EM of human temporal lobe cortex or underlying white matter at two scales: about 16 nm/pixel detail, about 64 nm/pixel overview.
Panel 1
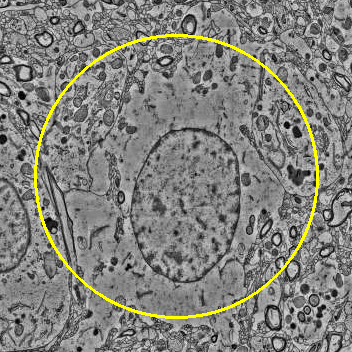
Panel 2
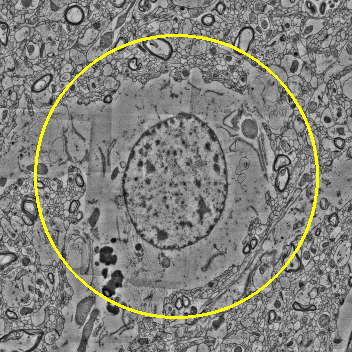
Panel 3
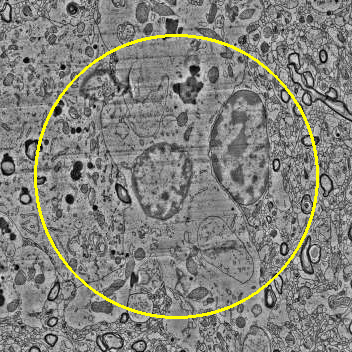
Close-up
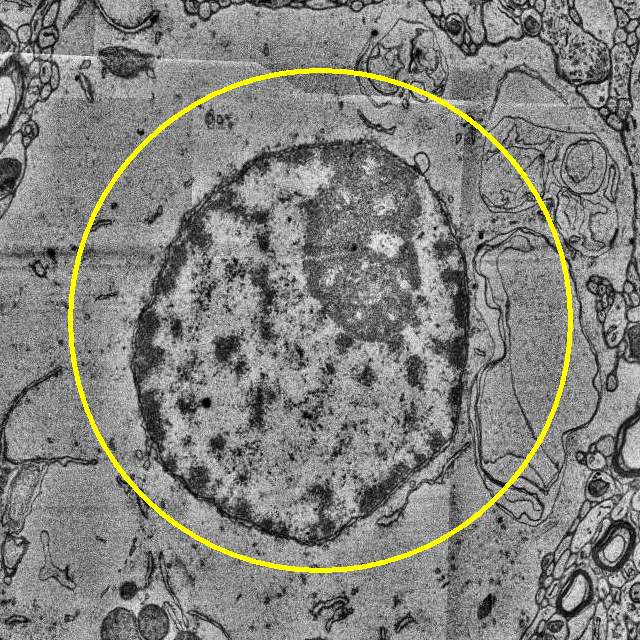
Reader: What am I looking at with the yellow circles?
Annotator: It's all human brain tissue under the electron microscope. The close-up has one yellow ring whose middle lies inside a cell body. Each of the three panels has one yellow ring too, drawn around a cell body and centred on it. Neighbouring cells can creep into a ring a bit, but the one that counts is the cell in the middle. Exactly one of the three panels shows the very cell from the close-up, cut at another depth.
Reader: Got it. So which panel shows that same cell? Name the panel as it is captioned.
Panel 2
